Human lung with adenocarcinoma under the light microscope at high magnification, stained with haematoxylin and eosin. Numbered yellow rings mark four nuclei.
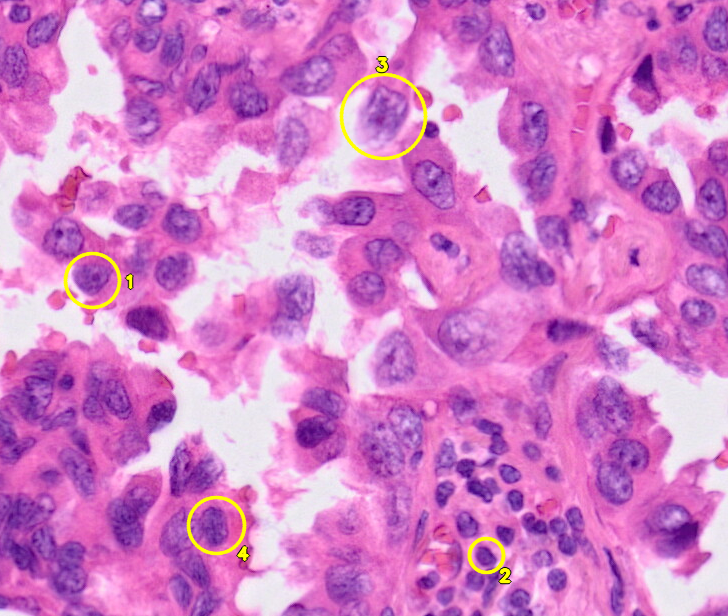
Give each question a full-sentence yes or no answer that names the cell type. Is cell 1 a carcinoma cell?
Yes, the cell shown as number 1 is a carcinoma cell.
